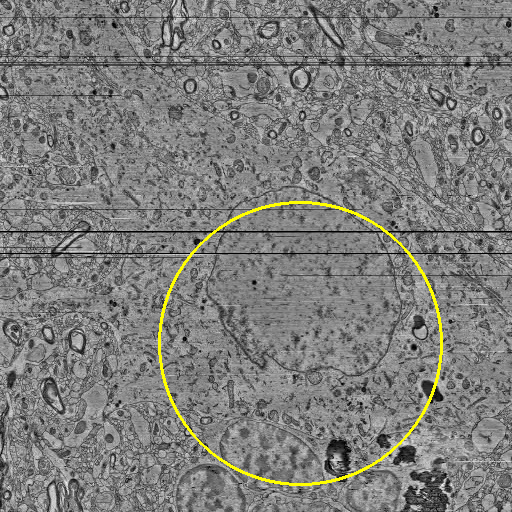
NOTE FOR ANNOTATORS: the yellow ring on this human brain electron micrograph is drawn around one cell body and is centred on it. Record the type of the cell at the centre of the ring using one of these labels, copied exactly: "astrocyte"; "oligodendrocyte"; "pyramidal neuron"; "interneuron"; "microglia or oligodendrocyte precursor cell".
pyramidal neuron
